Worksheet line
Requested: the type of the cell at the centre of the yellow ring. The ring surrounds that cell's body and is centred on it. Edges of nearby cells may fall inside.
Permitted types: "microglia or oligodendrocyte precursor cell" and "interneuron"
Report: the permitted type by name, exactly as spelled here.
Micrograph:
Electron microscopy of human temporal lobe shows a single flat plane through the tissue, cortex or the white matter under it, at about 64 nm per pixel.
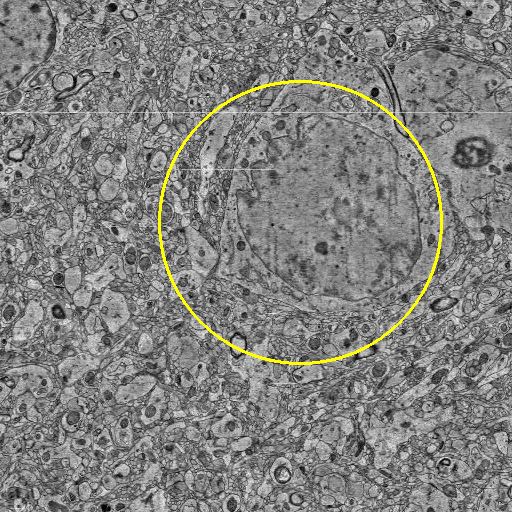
interneuron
